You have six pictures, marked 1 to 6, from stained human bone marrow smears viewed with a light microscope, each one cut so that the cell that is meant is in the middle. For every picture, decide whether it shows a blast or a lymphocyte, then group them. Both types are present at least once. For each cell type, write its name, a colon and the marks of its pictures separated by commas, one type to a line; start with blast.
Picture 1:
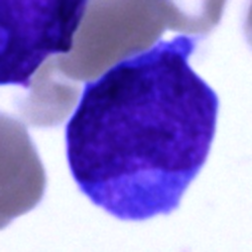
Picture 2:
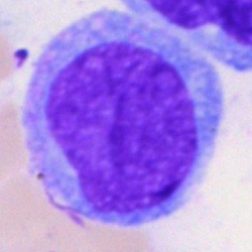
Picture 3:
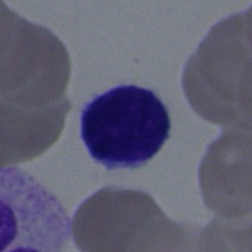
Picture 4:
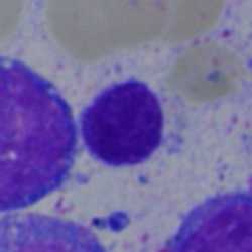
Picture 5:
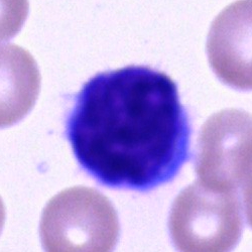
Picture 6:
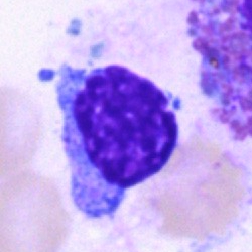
blast: 1, 2
lymphocyte: 3, 4, 5, 6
